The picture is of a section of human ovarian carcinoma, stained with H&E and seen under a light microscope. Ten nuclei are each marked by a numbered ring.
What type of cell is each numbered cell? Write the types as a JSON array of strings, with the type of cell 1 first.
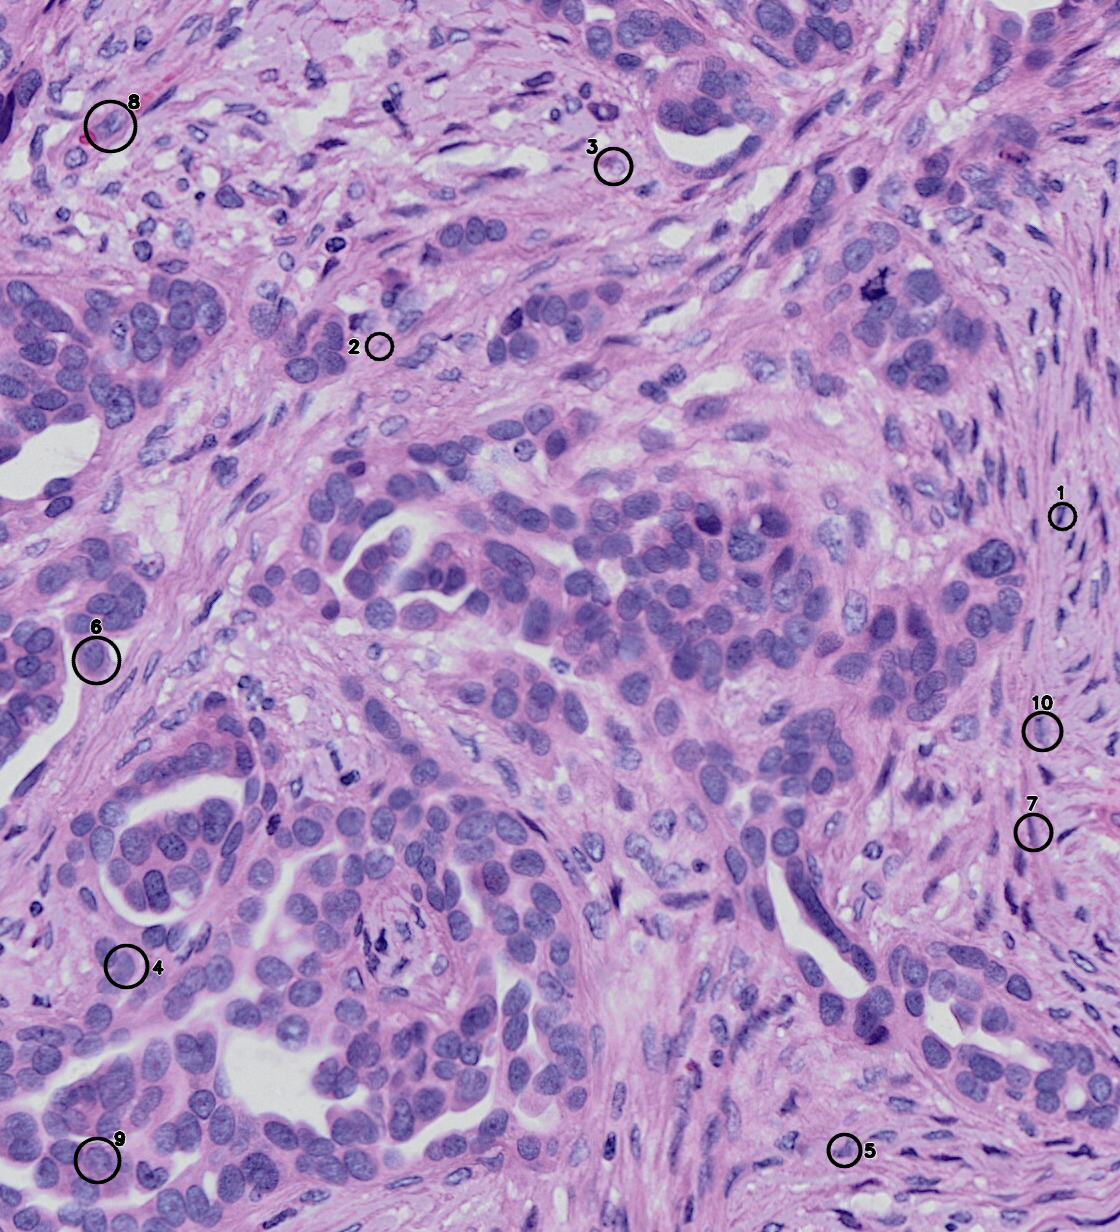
["fibroblast", "fibroblast", "fibroblast", "carcinoma cell", "fibroblast", "carcinoma cell", "fibroblast", "endothelial cell", "carcinoma cell", "fibroblast"]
